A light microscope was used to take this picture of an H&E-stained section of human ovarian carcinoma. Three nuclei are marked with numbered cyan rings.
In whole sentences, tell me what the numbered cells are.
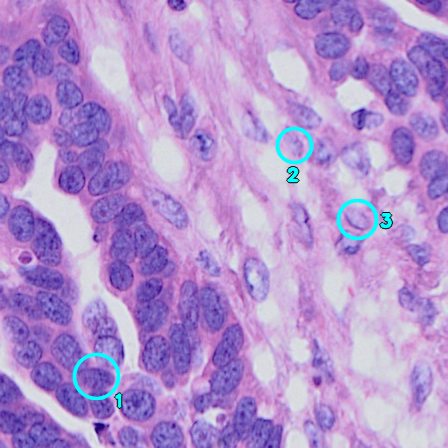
Cell 1 is a carcinoma cell. Cells 2 and 3 are fibroblasts.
